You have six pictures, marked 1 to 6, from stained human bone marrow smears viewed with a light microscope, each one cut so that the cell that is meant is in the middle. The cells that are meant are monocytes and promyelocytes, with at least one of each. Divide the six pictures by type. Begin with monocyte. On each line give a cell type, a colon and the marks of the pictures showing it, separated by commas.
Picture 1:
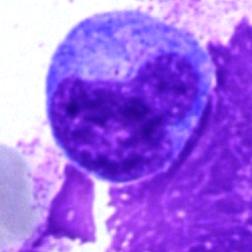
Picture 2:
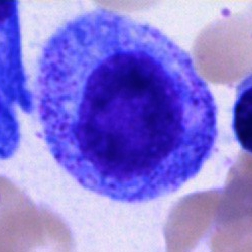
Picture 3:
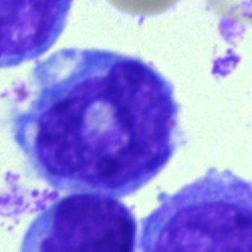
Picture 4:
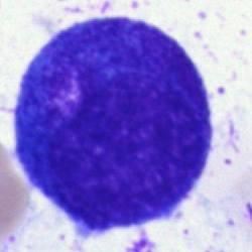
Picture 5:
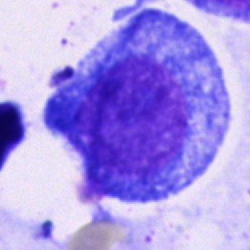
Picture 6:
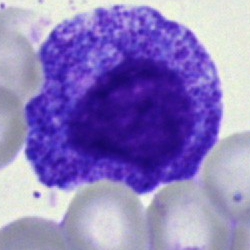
monocyte: 1, 3
promyelocyte: 2, 4, 5, 6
